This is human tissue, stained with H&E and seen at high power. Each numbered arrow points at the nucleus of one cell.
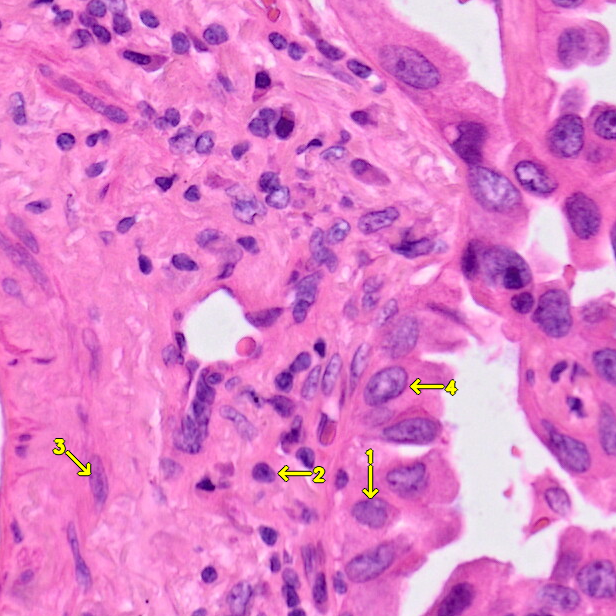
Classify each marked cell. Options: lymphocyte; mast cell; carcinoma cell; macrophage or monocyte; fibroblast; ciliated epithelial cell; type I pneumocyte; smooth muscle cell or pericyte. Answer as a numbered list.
1. carcinoma cell
2. lymphocyte
3. smooth muscle cell or pericyte
4. carcinoma cell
